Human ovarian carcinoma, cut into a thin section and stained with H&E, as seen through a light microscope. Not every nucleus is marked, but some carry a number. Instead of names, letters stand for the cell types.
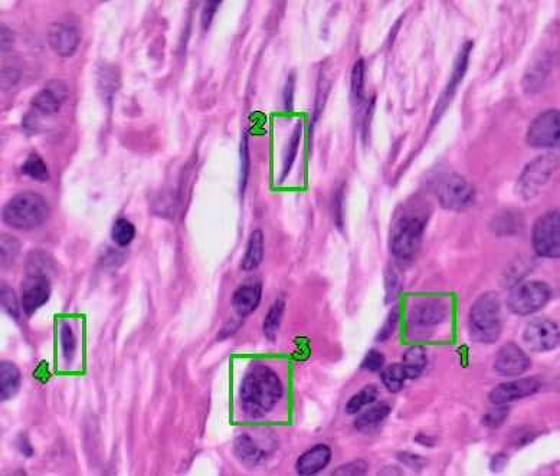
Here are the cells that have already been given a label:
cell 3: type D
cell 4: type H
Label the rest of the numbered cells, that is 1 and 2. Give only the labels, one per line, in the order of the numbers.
type D
type H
